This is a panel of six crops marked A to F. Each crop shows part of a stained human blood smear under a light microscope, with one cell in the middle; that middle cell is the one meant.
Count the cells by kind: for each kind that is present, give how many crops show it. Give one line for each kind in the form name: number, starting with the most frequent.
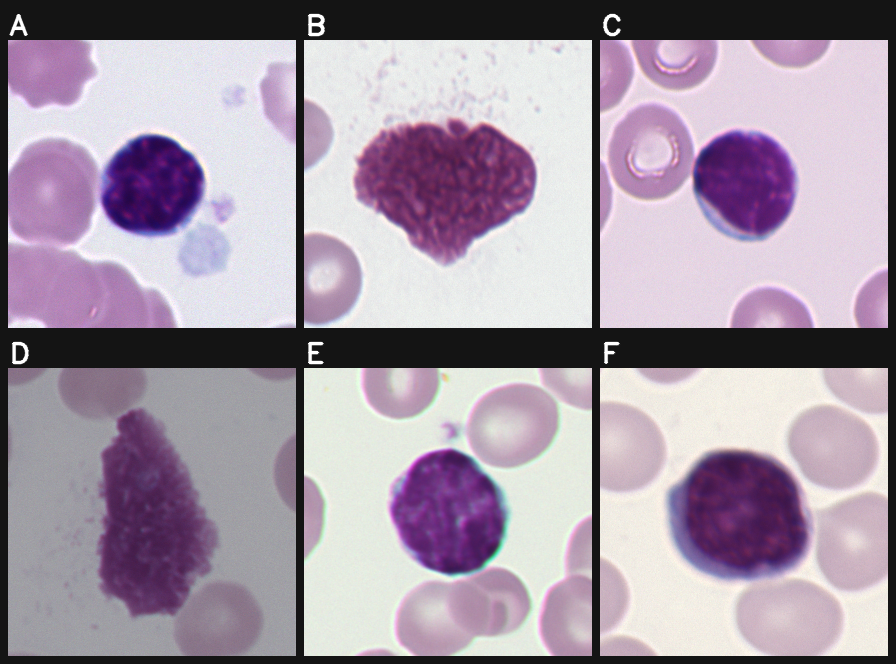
typical lymphocyte: 4
smudge cell: 2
